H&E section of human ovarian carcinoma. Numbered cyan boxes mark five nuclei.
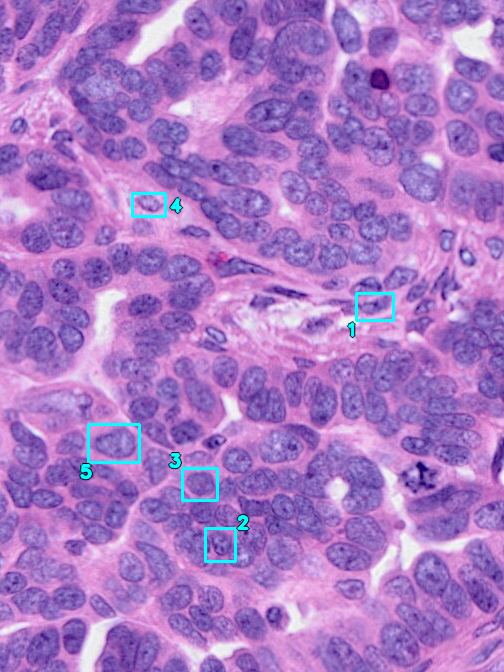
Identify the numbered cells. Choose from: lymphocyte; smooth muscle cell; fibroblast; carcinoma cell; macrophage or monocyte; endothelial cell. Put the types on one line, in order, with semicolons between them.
fibroblast; carcinoma cell; carcinoma cell; fibroblast; carcinoma cell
